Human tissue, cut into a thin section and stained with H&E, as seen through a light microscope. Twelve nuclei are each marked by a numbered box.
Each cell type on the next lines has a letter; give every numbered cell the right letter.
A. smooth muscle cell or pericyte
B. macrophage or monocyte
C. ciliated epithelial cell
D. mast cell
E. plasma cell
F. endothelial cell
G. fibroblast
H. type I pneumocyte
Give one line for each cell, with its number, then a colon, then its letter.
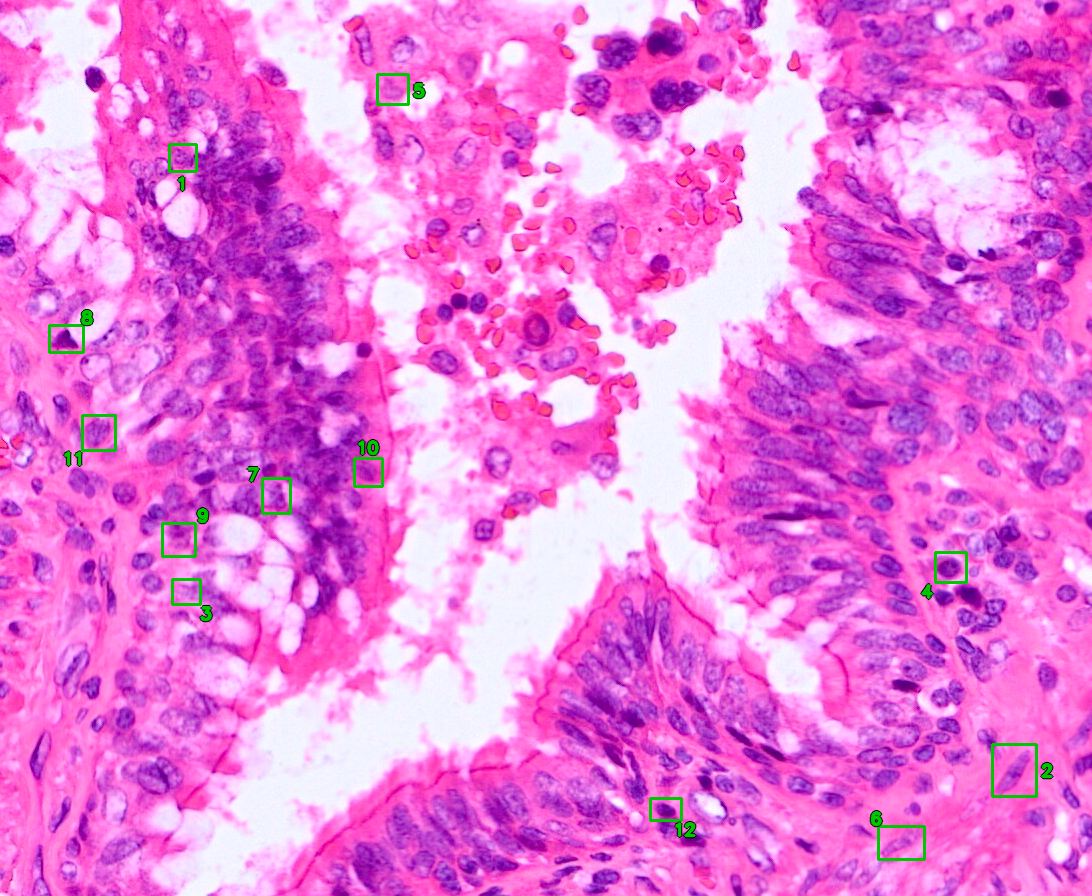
1: C
2: A
3: C
4: E
5: B
6: A
7: C
8: C
9: C
10: C
11: C
12: E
